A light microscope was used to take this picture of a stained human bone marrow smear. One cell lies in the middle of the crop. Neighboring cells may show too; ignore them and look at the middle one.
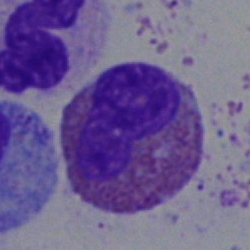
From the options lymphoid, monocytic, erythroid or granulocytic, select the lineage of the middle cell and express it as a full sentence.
The centered cell is a member of the granulocytic lineage.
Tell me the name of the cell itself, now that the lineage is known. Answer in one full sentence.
The cell in the middle of this crop is an eosinophil.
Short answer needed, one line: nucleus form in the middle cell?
Two or more lobes make up the nucleus of this cell.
